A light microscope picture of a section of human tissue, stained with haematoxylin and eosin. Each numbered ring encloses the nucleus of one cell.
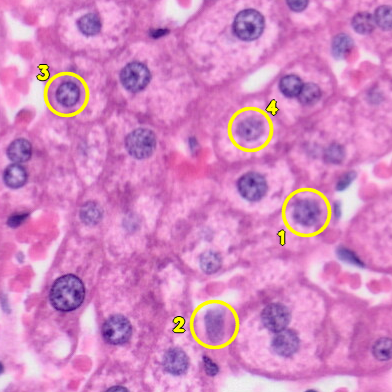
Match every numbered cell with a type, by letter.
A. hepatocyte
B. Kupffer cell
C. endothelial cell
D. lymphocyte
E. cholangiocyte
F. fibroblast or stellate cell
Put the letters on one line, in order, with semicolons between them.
A; B; A; A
